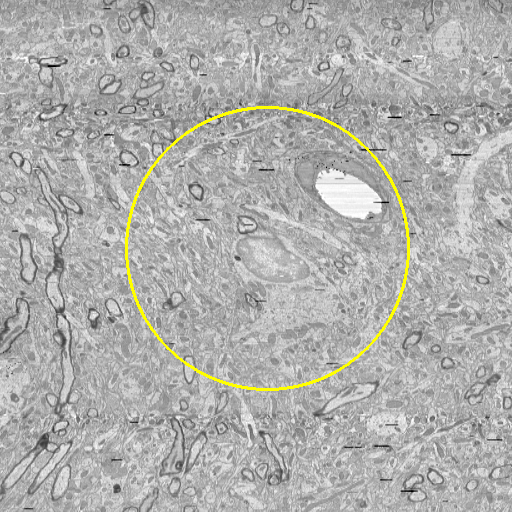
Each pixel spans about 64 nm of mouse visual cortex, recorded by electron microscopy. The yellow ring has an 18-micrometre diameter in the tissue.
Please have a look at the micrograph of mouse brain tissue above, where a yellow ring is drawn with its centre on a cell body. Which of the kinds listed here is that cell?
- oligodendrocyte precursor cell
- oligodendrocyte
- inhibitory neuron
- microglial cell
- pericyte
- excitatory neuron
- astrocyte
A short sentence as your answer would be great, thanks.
At the centre of the ring sits an oligodendrocyte.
